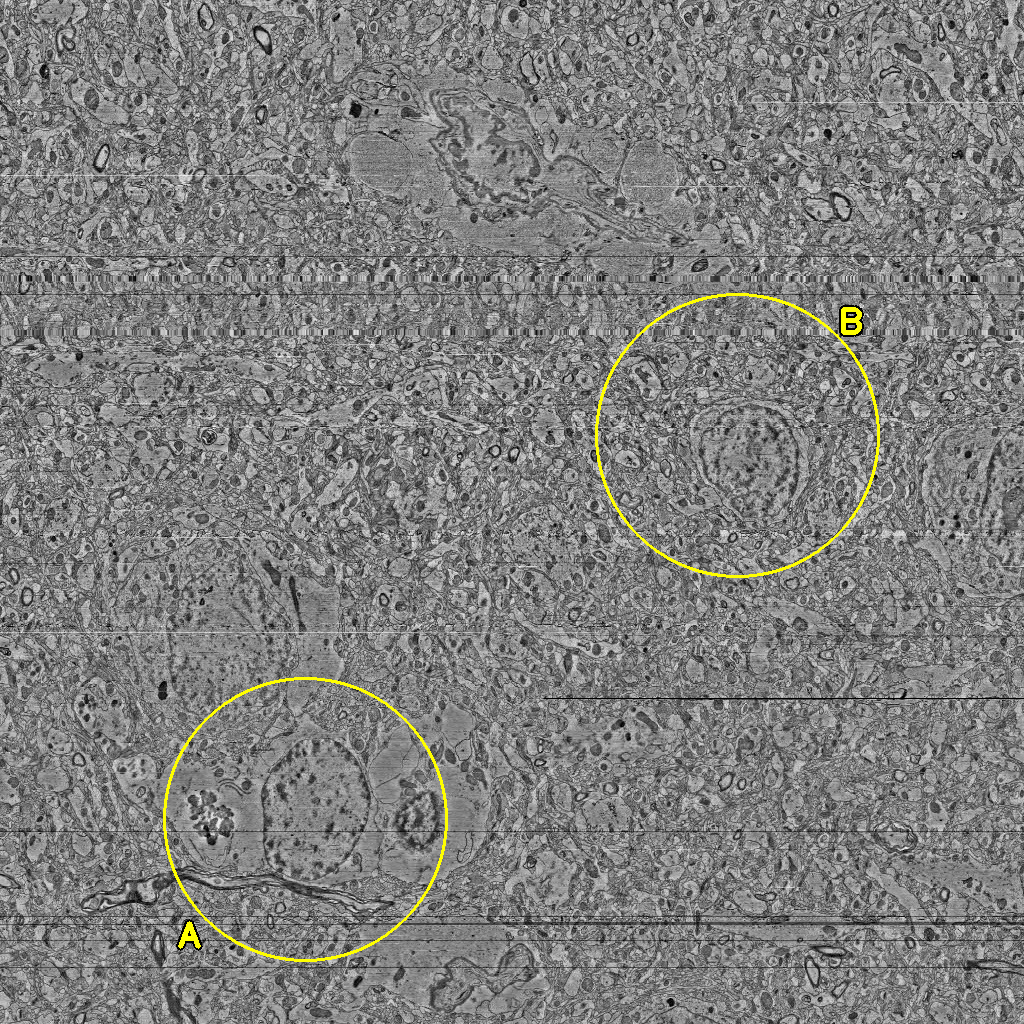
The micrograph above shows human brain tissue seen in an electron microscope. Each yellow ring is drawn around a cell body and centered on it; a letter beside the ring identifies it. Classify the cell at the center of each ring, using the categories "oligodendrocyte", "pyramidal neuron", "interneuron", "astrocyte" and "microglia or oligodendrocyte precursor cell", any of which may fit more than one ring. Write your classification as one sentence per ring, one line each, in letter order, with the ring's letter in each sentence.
Ring A is centered on an astrocyte.
Ring B is centered on an interneuron.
